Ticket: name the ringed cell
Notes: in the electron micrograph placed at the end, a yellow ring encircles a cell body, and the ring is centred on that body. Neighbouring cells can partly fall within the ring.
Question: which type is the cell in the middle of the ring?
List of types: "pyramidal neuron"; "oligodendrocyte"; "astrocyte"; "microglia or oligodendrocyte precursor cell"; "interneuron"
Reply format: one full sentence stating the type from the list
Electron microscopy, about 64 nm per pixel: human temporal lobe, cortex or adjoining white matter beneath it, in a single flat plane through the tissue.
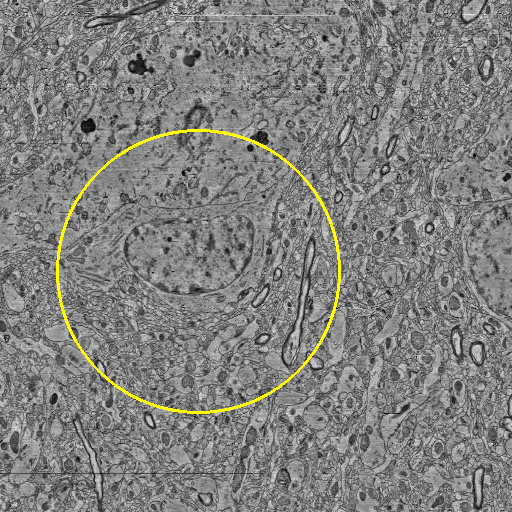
The cell sitting at the centre of the yellow ring is a microglial cell or oligodendrocyte precursor cell.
